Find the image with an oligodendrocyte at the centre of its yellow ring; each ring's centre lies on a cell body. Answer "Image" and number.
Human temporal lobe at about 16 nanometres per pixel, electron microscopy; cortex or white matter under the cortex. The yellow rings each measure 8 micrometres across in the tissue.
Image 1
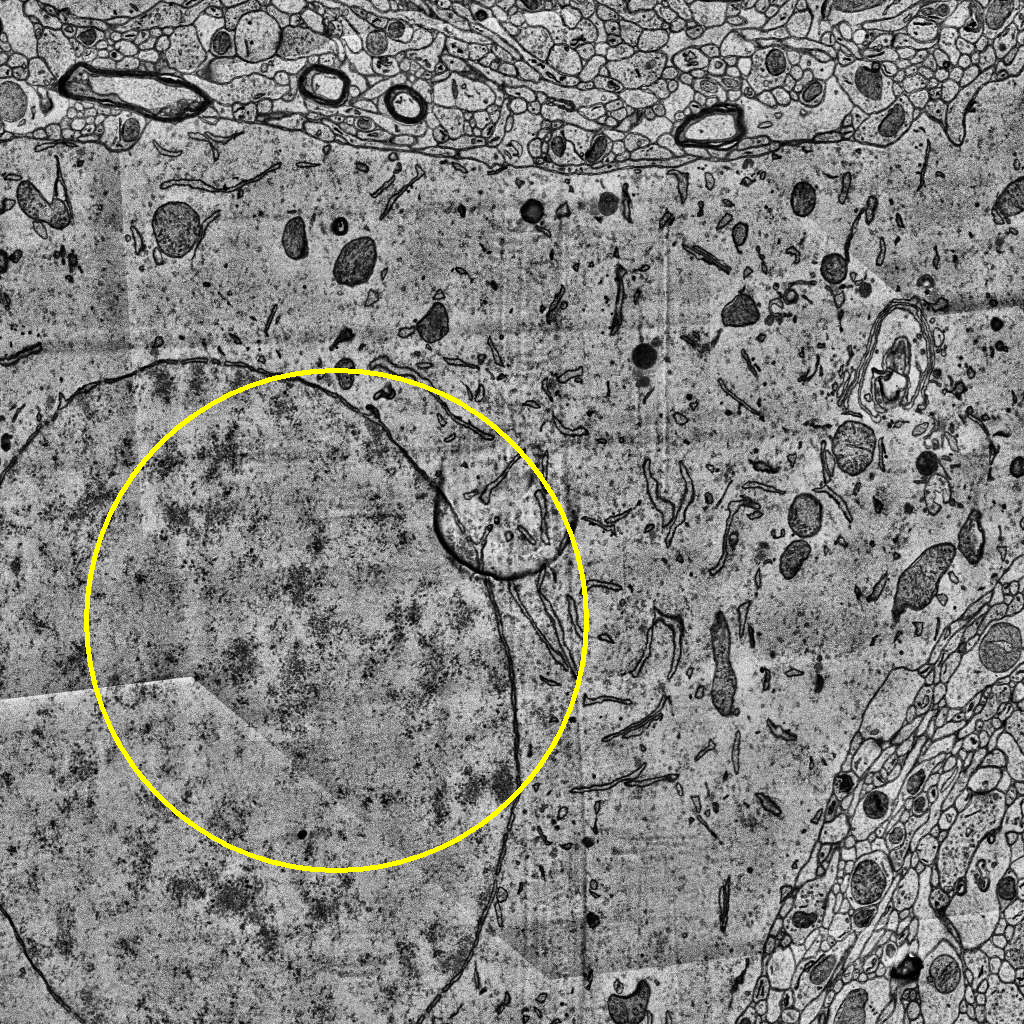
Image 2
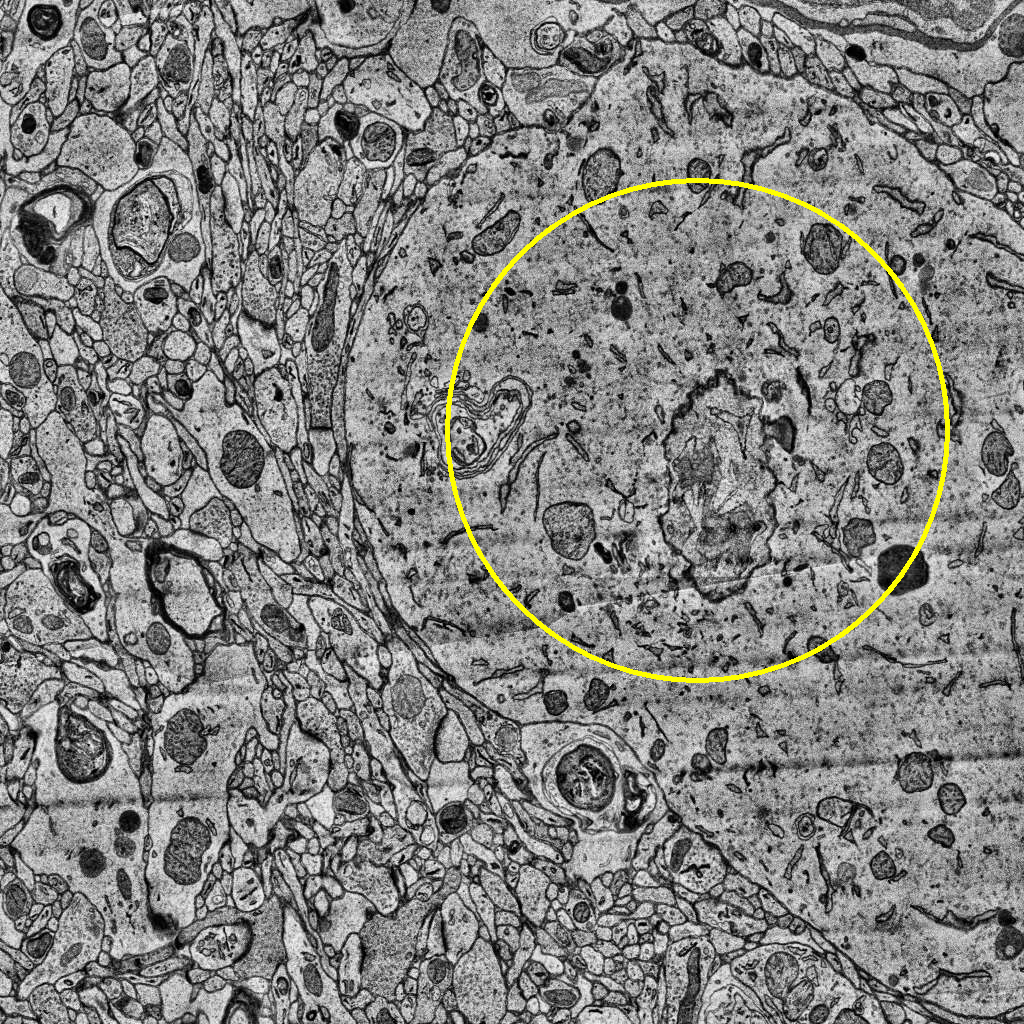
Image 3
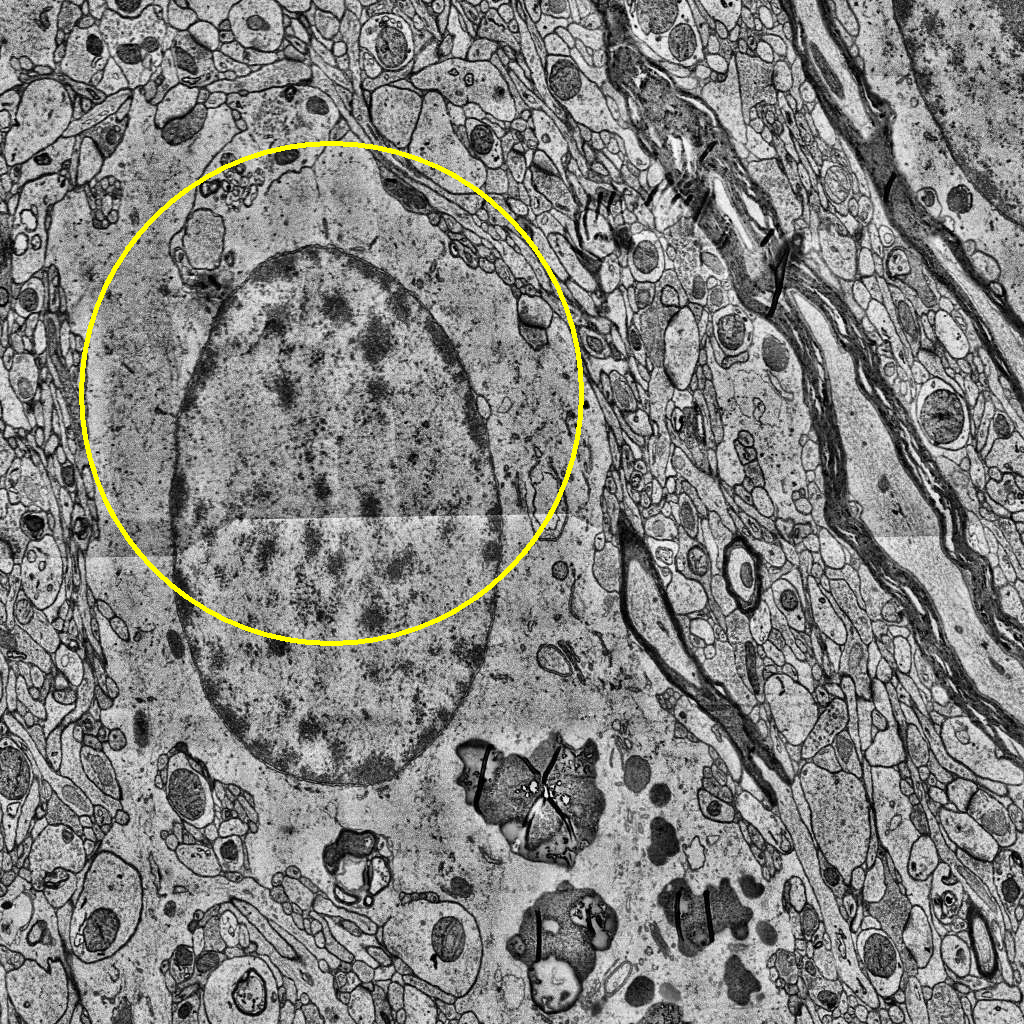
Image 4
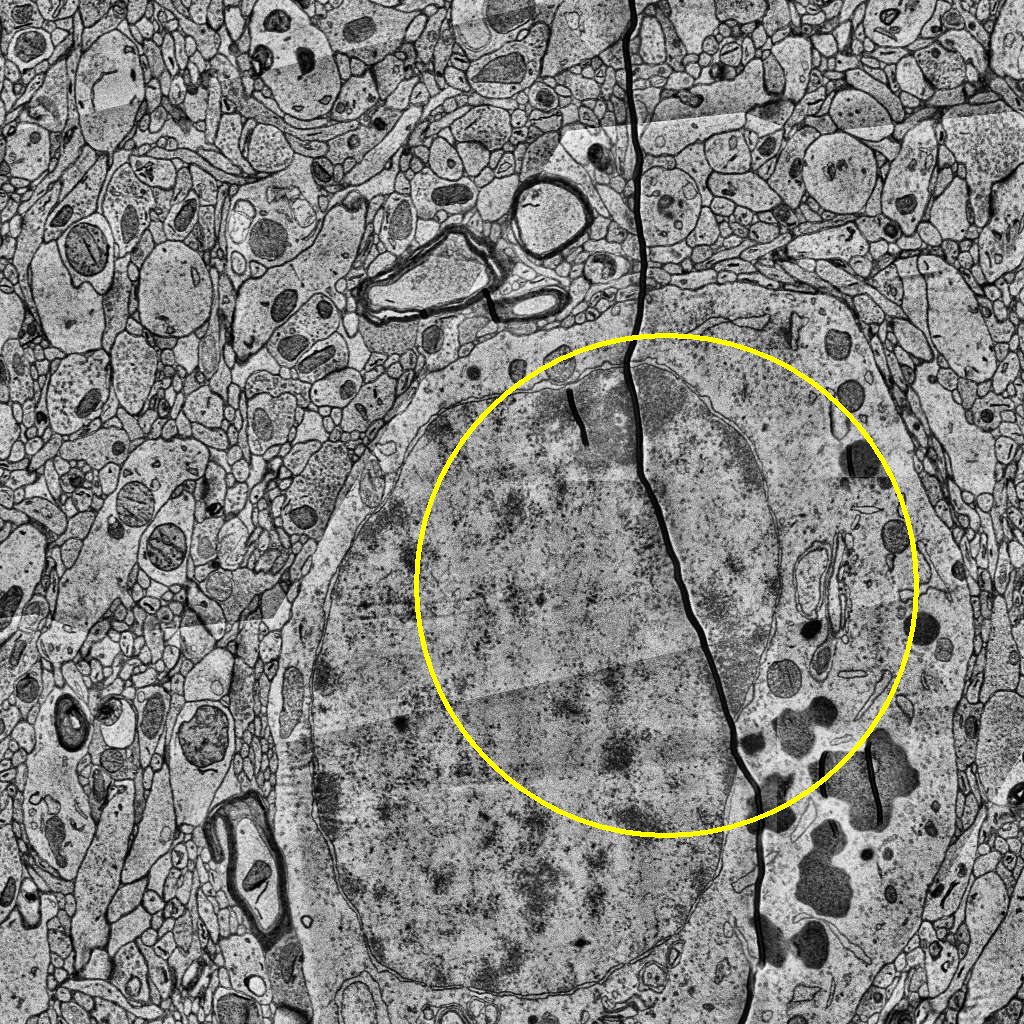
Image 2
